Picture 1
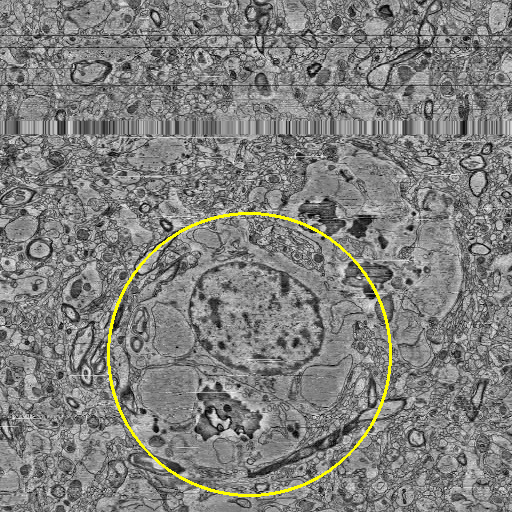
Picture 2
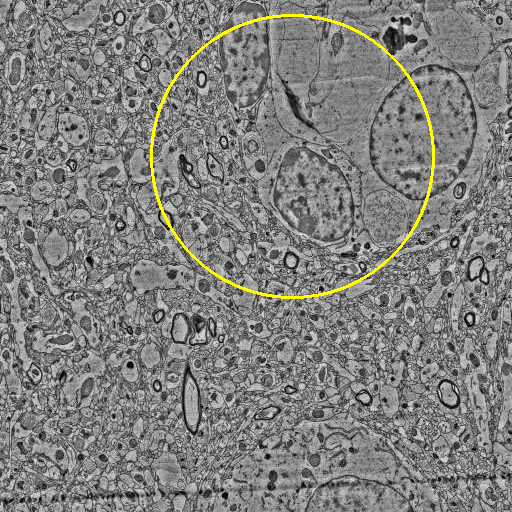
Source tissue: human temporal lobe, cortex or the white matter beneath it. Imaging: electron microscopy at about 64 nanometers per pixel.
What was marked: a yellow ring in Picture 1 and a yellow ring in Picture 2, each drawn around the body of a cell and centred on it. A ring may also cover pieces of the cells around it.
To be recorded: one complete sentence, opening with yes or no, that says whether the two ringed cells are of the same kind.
No, the two ringed cells are of two kinds.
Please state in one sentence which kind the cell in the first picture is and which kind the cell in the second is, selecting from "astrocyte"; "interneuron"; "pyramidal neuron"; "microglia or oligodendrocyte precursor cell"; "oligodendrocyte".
The first ringed cell is an astrocyte, the second ringed cell a microglial cell or oligodendrocyte precursor cell.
